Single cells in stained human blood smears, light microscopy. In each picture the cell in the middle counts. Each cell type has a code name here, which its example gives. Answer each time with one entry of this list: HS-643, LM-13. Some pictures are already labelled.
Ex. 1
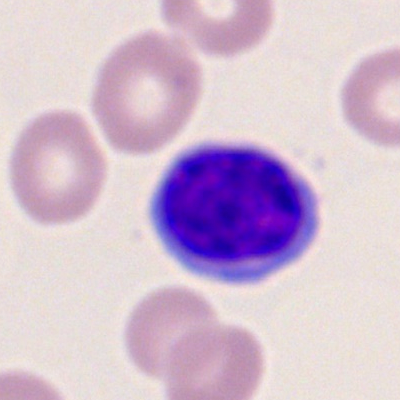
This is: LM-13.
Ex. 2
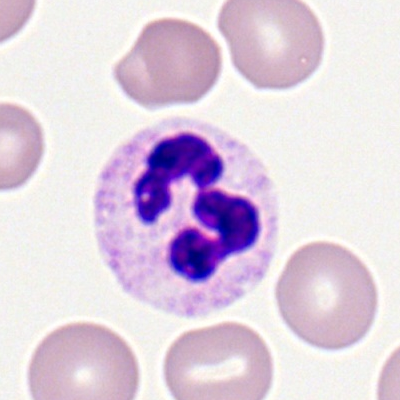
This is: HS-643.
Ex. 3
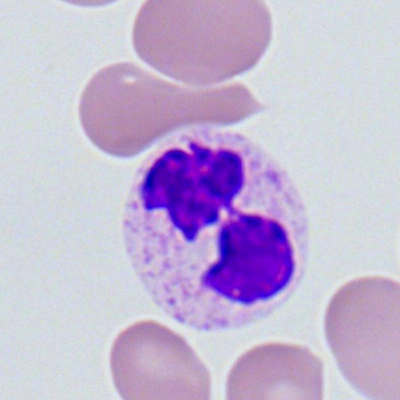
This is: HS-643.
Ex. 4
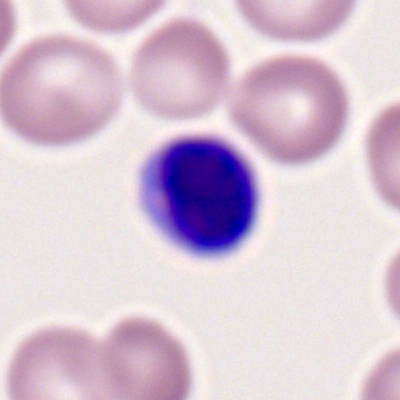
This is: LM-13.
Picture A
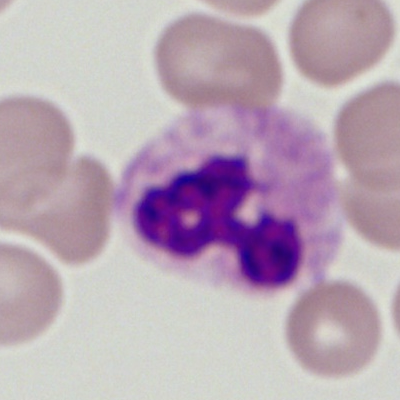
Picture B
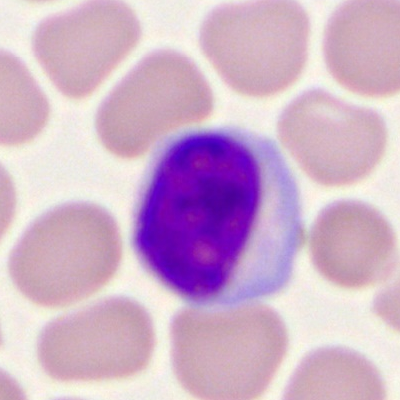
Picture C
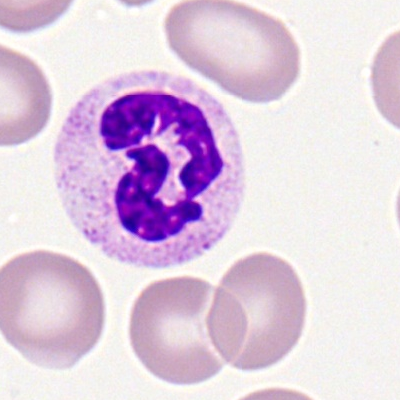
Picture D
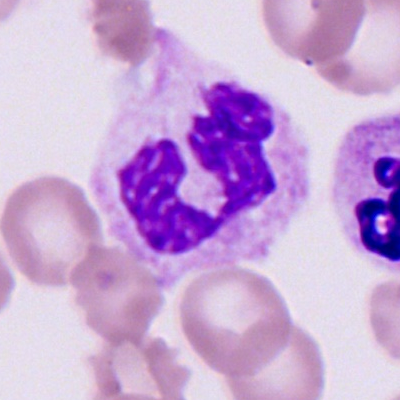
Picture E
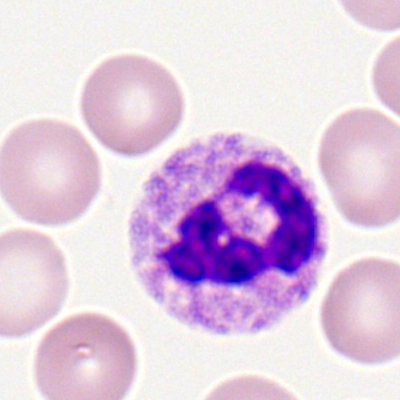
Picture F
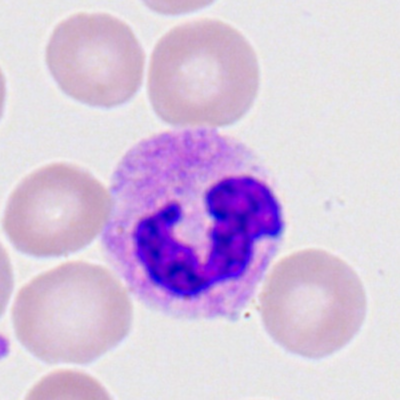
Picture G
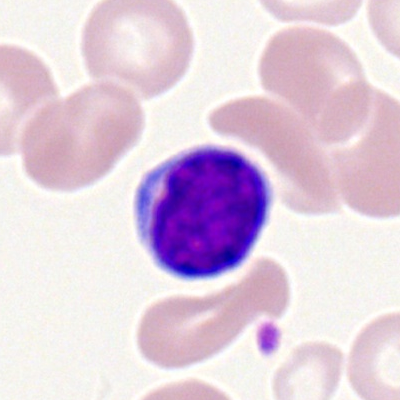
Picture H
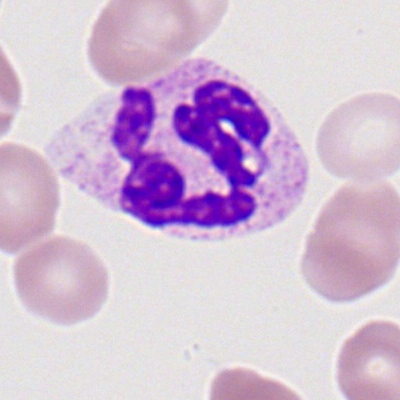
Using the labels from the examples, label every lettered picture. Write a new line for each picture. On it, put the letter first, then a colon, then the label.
A: HS-643.
B: LM-13.
C: HS-643.
D: HS-643.
E: HS-643.
F: HS-643.
G: LM-13.
H: HS-643.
